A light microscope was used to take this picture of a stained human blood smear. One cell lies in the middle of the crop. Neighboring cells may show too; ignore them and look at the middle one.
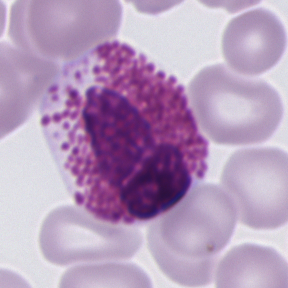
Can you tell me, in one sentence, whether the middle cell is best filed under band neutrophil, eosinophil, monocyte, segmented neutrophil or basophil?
Centrally within this crop lies an eosinophil.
